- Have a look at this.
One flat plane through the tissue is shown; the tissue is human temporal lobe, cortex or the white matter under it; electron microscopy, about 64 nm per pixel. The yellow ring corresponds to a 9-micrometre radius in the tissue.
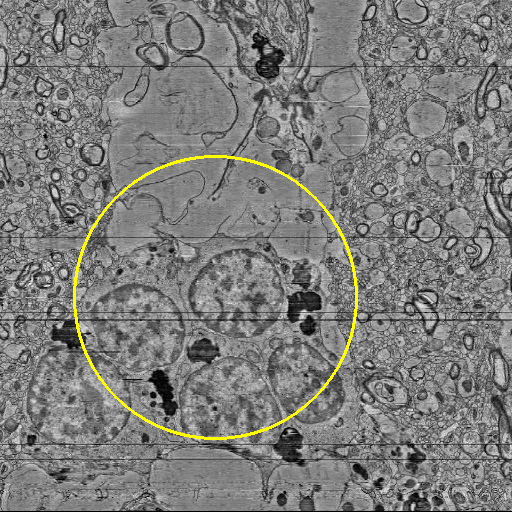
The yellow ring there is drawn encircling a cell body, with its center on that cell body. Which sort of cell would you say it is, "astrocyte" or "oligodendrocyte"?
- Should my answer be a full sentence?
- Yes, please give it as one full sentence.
For this picture, an oligodendrocyte is the cell where the yellow ring has its center.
